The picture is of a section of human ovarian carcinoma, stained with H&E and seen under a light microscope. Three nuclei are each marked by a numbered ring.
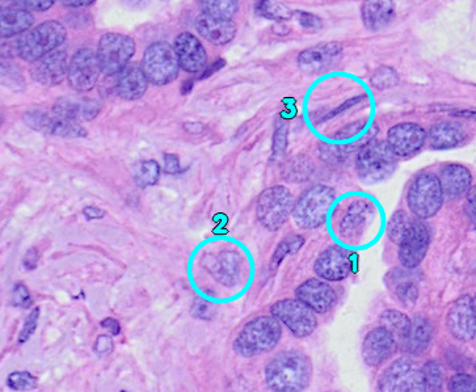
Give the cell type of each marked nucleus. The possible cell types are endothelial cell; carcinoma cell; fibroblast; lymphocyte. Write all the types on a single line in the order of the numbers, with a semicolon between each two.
carcinoma cell; fibroblast; fibroblast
